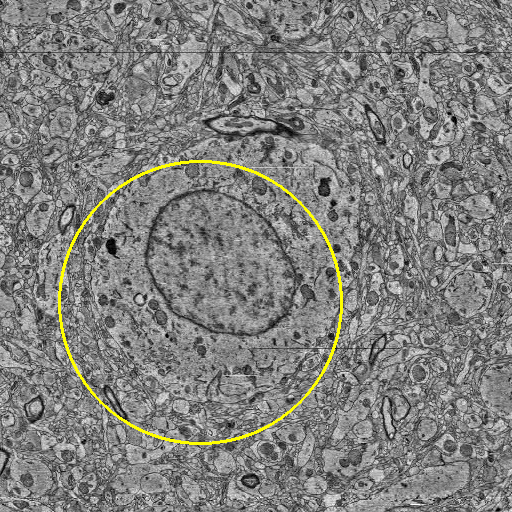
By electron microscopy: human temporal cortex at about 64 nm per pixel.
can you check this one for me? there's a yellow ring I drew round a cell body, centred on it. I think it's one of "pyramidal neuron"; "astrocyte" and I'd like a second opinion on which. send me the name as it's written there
pyramidal neuron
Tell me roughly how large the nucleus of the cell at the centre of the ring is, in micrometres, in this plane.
About 11 micrometres by about 8 micrometres in this plane.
